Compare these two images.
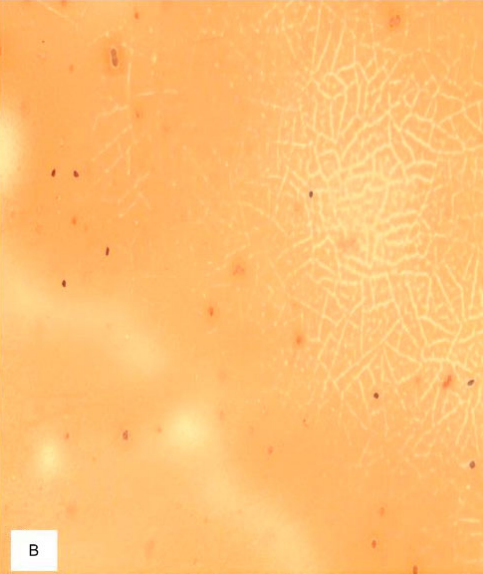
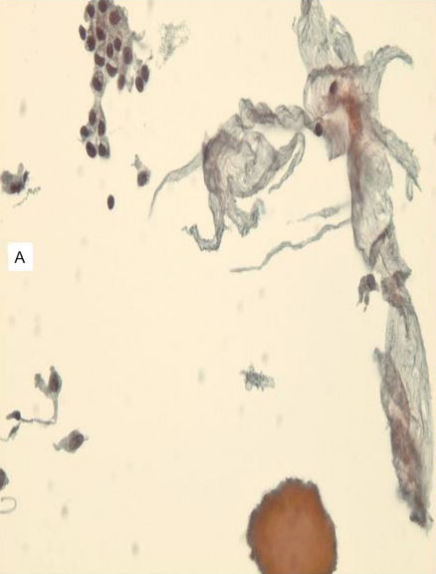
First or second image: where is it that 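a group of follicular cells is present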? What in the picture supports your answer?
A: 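The second image. First image: only orange cracked background material with scattered tiny dots, no cell group. Second image: a cluster of cells with round dark nuclei at upper left.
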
